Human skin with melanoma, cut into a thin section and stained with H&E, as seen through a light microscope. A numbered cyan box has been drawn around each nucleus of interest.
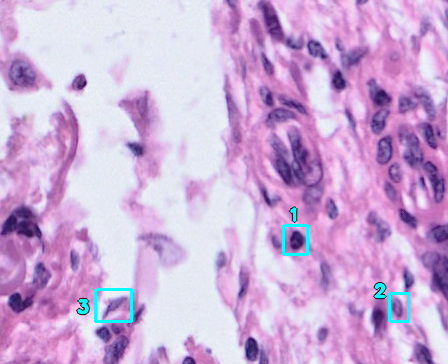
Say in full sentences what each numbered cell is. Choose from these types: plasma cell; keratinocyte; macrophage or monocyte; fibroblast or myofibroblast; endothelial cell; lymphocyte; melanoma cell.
Cell 1 is a plasma cell, cell 2 is a macrophage or monocyte and cell 3 is a fibroblast or myofibroblast.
